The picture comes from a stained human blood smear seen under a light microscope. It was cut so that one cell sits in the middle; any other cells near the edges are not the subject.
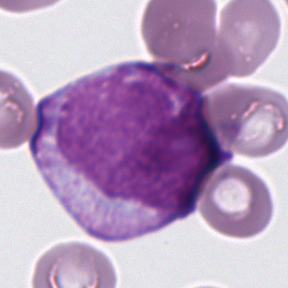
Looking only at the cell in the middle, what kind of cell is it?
atypical promyelocyte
